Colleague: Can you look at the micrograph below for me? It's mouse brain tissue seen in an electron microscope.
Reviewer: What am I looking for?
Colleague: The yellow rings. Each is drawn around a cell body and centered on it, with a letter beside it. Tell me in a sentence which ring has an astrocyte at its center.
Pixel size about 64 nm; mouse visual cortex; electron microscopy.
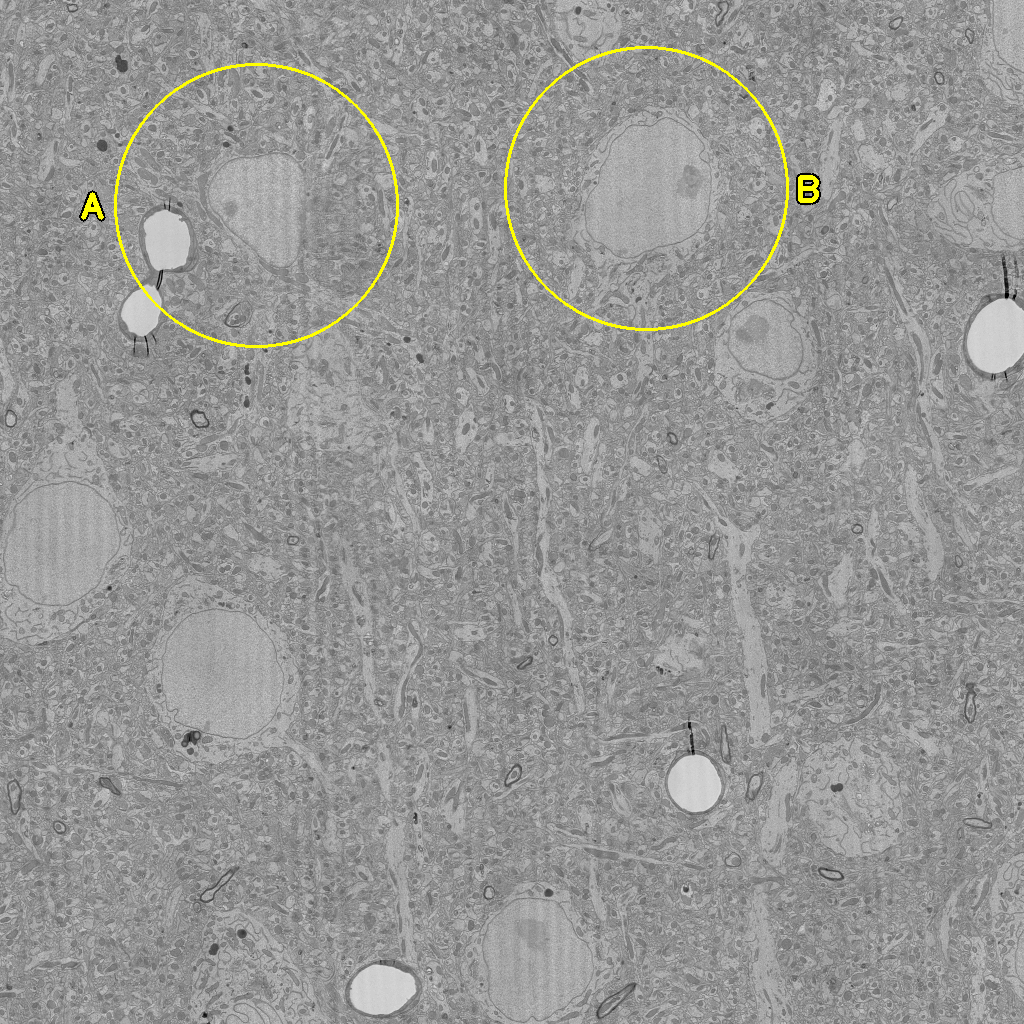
It's the cell in ring A.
